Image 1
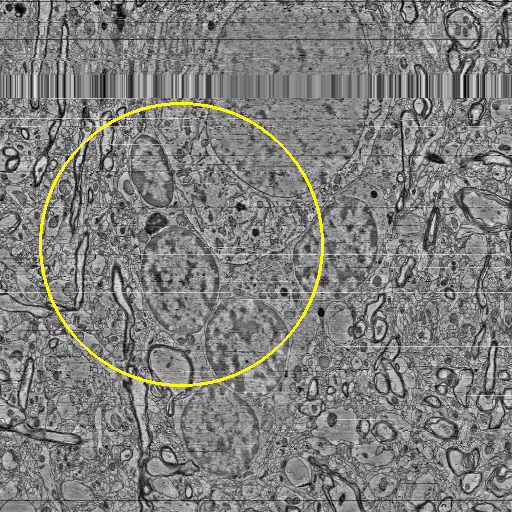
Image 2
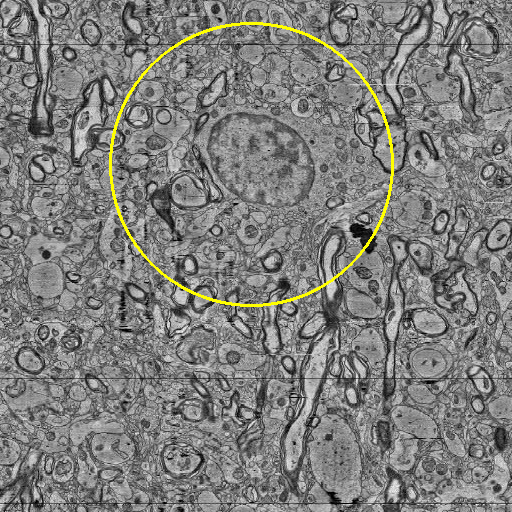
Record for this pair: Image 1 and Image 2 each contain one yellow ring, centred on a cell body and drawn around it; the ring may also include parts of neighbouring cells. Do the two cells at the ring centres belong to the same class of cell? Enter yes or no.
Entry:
yes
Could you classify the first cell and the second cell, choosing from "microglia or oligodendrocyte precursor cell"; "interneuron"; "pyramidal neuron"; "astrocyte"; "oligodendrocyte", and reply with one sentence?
In both pictures the ring is centred on an oligodendrocyte.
